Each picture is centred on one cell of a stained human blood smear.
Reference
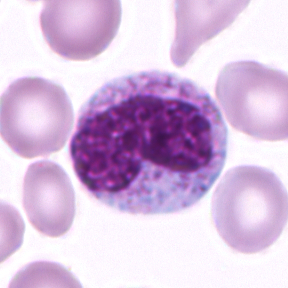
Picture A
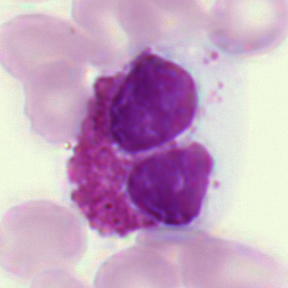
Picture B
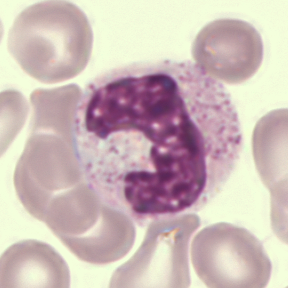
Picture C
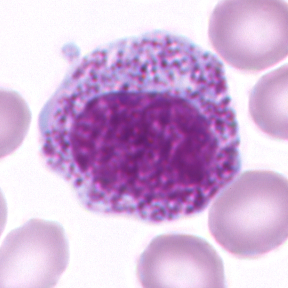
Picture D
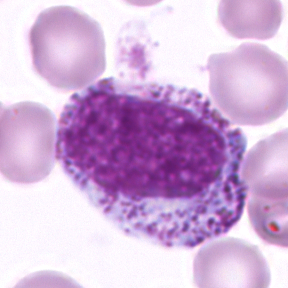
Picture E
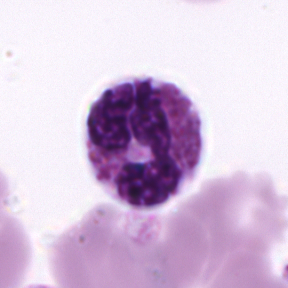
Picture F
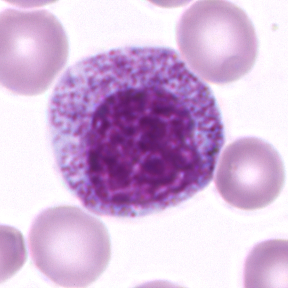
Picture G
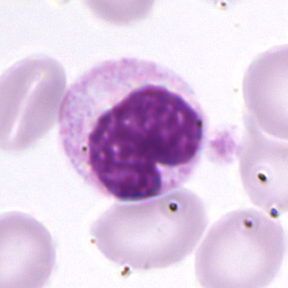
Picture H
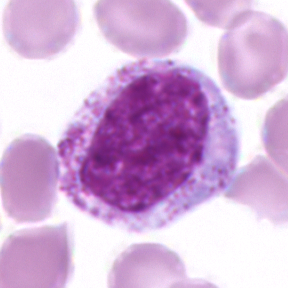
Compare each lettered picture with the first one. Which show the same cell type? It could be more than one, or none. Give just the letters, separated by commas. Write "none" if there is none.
B, G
